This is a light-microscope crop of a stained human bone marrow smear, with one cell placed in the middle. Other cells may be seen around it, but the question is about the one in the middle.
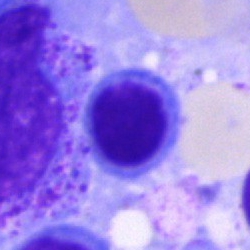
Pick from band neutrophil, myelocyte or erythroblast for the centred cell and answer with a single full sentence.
The cell around which this crop is centred is an erythroblast.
